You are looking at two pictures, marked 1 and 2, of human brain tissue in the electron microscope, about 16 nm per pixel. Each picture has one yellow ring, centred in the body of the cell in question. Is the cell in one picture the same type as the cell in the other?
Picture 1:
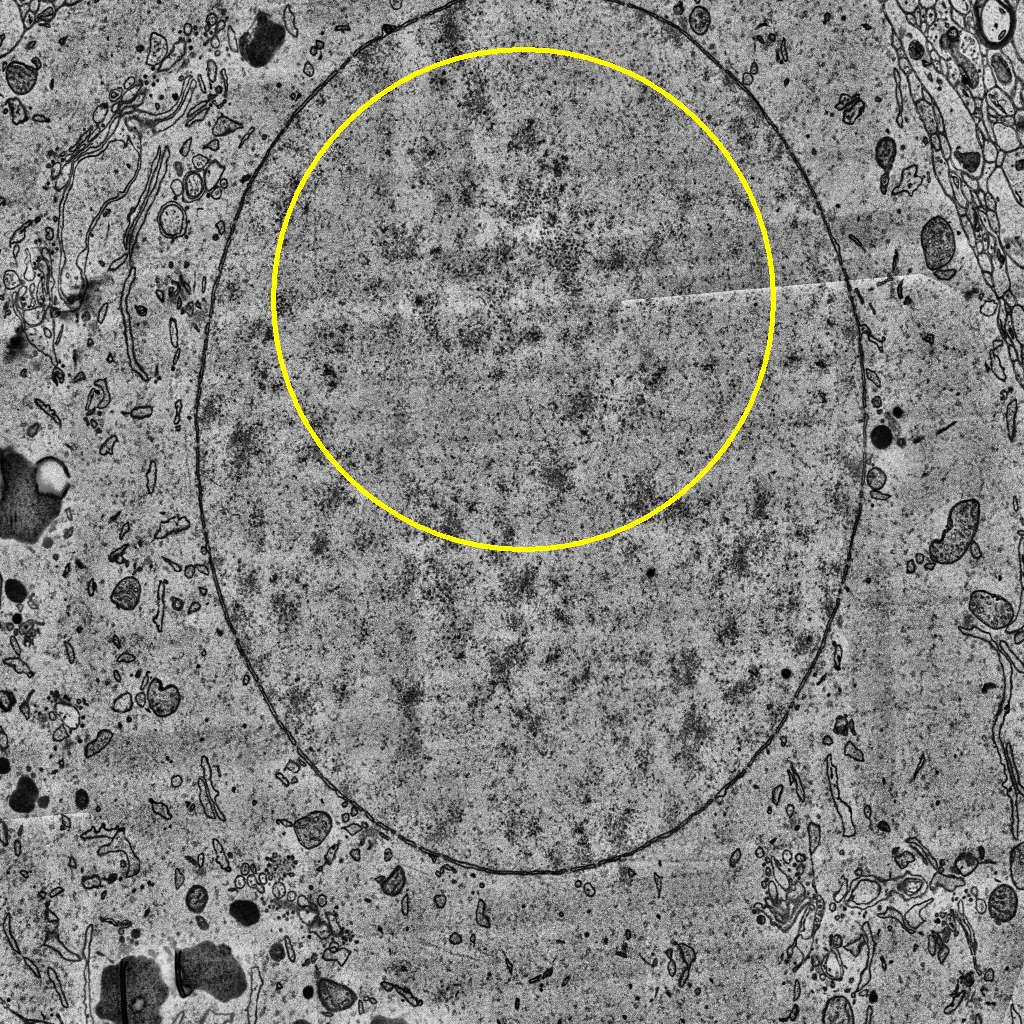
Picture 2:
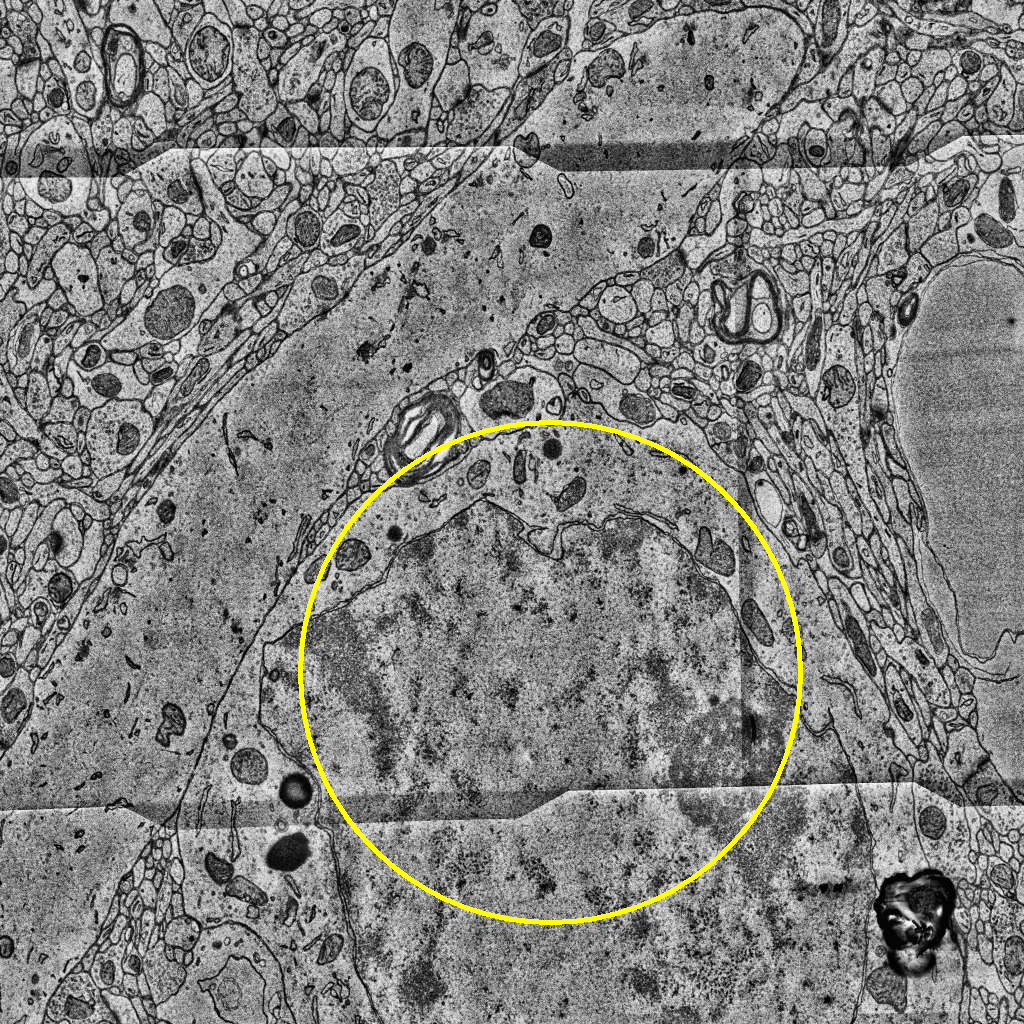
No, picture 1 shows a pyramidal neuron and picture 2 shows an interneuron.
